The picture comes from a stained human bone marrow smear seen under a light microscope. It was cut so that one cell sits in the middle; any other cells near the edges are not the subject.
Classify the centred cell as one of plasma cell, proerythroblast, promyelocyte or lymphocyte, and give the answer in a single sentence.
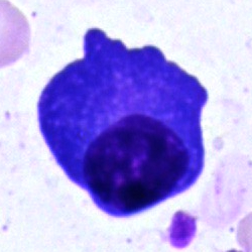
In the centre of this crop there is a plasma cell.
